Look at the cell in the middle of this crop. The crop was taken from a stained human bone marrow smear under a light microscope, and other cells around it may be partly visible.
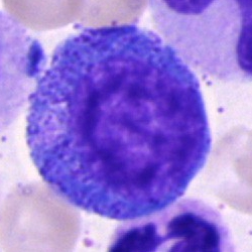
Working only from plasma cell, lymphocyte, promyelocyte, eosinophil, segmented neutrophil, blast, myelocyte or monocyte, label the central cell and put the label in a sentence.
For this crop, the cell in the middle is a promyelocyte.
